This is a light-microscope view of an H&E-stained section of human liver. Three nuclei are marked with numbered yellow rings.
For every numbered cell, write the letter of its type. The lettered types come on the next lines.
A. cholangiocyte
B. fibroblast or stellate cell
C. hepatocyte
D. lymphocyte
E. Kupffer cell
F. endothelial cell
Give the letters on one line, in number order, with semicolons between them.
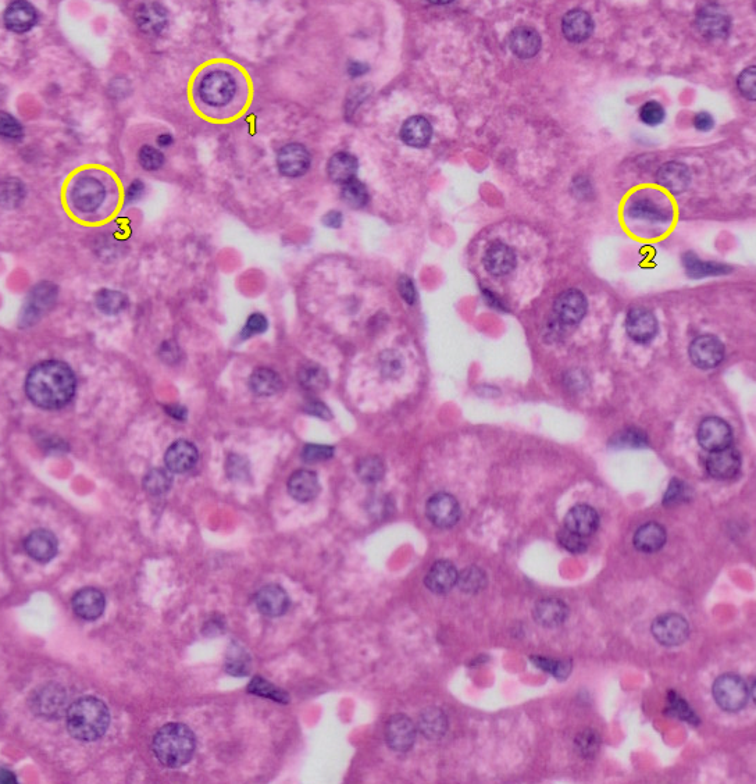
C; B; C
